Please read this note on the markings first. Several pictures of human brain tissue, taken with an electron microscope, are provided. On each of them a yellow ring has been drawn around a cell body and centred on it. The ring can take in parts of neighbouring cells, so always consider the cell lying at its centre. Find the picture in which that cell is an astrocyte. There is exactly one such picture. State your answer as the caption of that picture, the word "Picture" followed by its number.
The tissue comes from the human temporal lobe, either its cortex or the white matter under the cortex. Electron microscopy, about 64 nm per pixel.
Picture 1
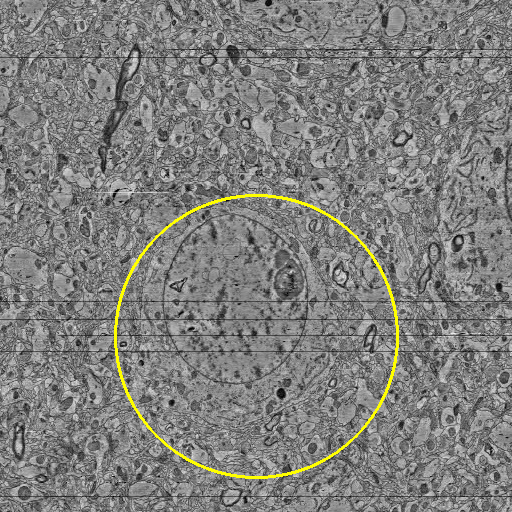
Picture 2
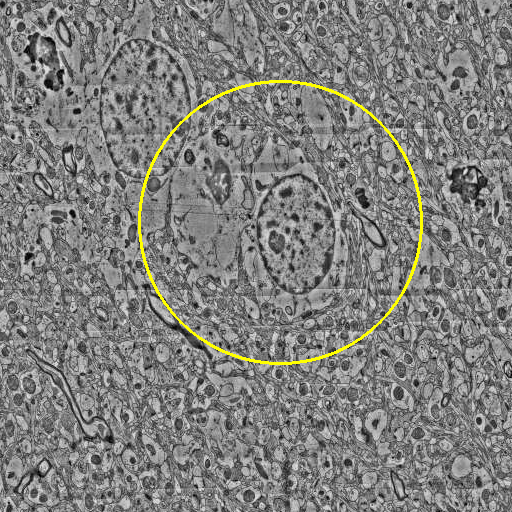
Picture 2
